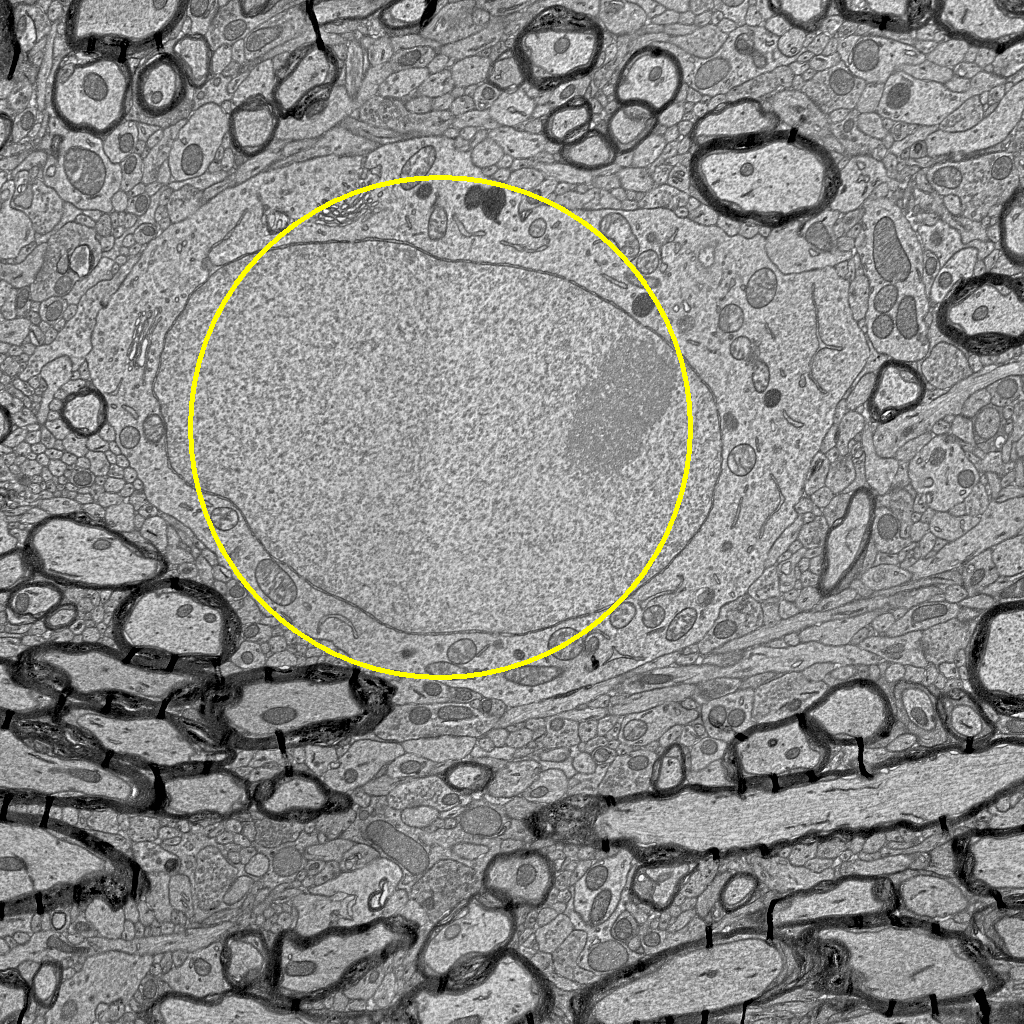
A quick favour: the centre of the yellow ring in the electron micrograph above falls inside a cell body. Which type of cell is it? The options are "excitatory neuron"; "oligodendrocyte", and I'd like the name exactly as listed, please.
excitatory neuron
